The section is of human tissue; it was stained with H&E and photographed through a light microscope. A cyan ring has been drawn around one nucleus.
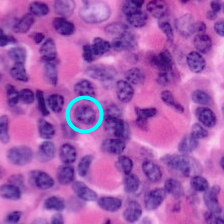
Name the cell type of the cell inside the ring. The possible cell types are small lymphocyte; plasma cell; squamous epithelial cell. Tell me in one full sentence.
Assigned to a cell type, the cell inside the ring is a plasma cell.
